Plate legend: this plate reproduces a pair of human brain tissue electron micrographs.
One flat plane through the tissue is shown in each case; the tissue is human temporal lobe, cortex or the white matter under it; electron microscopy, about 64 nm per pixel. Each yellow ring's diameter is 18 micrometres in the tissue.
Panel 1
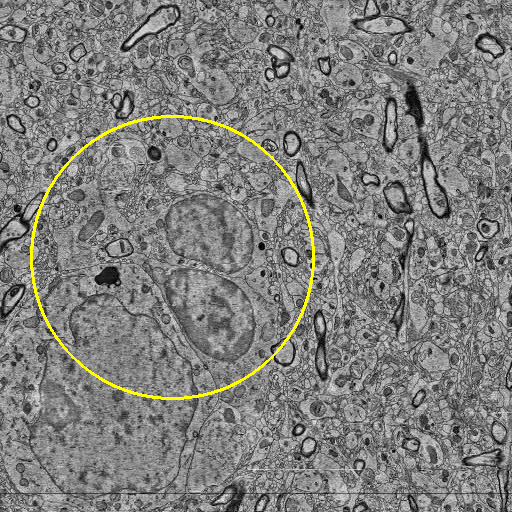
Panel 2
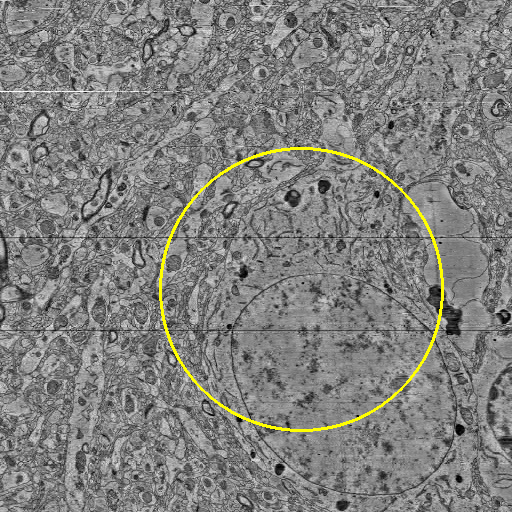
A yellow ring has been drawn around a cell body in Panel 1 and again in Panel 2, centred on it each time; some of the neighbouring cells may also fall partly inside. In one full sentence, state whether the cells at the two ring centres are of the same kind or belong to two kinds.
The ring-centred cells of Panel 1 and Panel 2 belong to two kinds.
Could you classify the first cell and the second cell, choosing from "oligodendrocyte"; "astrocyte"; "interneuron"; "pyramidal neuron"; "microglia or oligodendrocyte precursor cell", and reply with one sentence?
The second cell is a pyramidal neuron, while the first is an oligodendrocyte.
